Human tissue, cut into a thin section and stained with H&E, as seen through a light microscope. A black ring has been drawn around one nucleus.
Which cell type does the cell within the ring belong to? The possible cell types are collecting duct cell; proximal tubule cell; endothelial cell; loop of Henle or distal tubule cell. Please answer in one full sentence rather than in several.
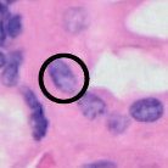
Considered by cell type, the cell within the ring is a collecting duct cell.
